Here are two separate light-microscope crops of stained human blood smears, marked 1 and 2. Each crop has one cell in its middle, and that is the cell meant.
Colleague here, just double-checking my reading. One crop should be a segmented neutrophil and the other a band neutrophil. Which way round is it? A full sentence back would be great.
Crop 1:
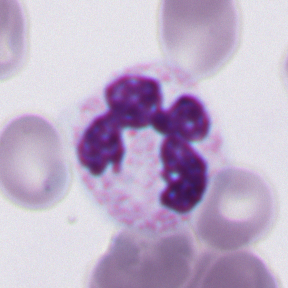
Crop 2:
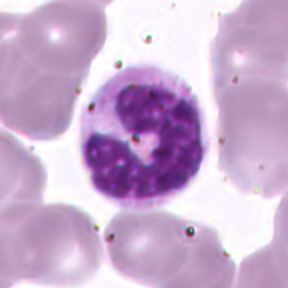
Crop 2 is a band neutrophil, while crop 1 is a segmented neutrophil.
